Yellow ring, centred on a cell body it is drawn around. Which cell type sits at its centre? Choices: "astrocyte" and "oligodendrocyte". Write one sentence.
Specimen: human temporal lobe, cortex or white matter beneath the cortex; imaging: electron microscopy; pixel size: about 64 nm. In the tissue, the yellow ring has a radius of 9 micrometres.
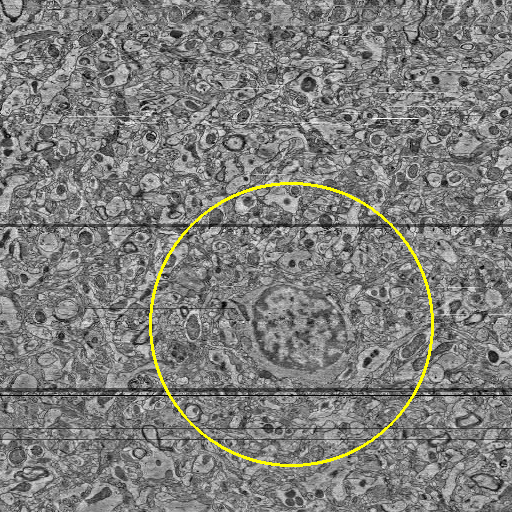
At the centre of the ring sits an oligodendrocyte.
